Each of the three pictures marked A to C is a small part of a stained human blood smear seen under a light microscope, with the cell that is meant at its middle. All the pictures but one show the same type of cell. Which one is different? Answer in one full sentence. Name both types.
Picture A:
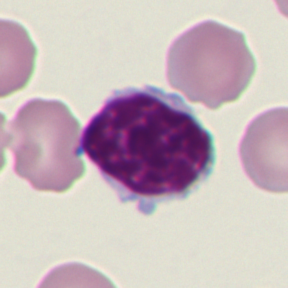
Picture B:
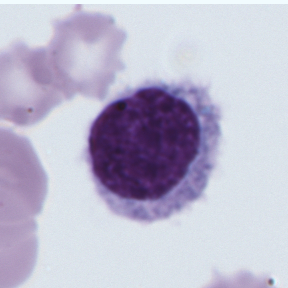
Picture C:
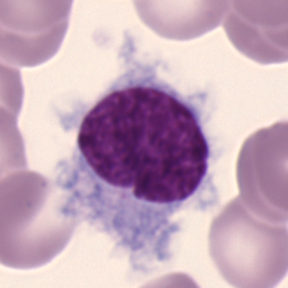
Picture A differs, because its cell is a typical lymphocyte and the rest are hairy cells.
